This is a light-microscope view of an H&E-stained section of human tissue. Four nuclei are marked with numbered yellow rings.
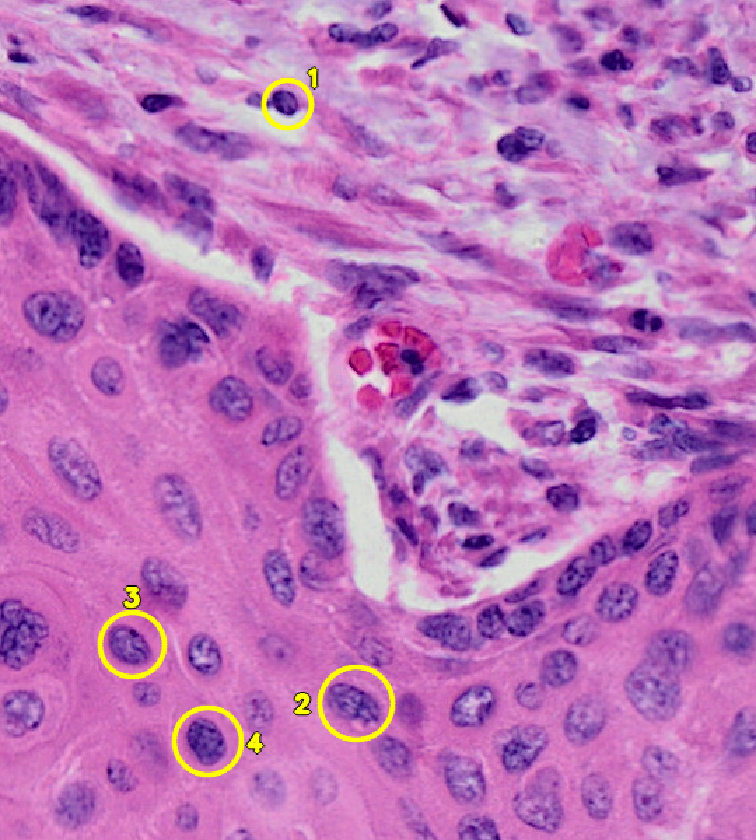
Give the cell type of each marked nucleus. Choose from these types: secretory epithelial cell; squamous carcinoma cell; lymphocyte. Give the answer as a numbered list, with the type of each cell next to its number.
1. lymphocyte
2. squamous carcinoma cell
3. squamous carcinoma cell
4. squamous carcinoma cell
